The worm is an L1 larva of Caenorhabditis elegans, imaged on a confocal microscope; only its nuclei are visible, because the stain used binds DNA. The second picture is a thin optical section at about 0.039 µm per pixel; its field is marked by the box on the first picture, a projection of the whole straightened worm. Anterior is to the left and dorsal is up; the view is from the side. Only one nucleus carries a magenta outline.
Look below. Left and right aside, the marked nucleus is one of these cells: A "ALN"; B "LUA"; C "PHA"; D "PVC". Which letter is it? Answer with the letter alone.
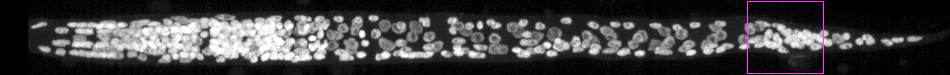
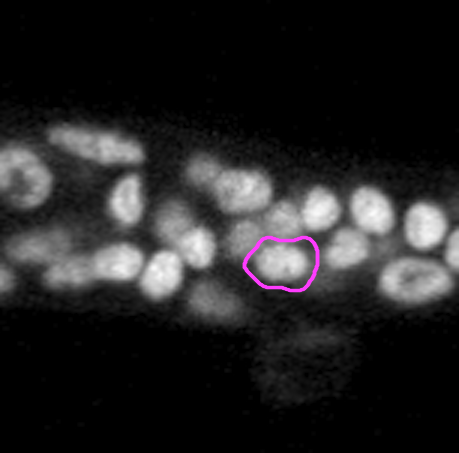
C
